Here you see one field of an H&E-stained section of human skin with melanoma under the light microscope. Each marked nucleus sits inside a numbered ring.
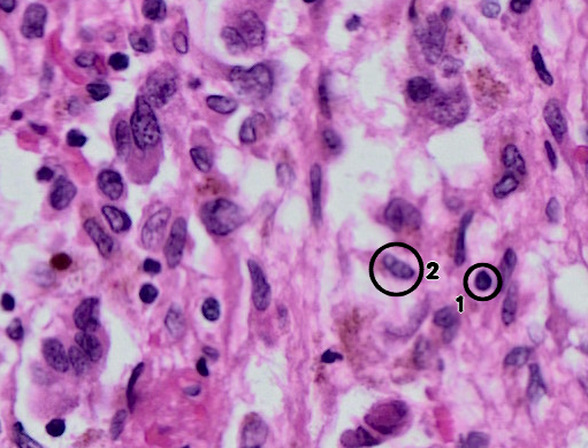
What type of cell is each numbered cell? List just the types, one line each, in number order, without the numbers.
lymphocyte
macrophage or monocyte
